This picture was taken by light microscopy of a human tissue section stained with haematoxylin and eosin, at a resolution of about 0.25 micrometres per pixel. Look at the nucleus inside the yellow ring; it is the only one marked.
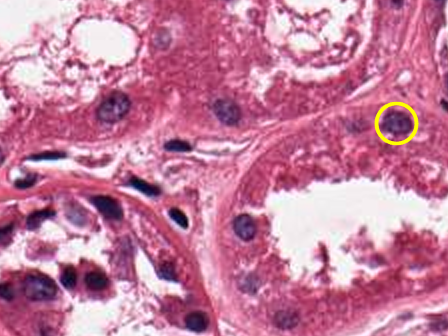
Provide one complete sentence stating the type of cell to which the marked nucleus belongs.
The marked nucleus is that of a proximal tubule cell in this section.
